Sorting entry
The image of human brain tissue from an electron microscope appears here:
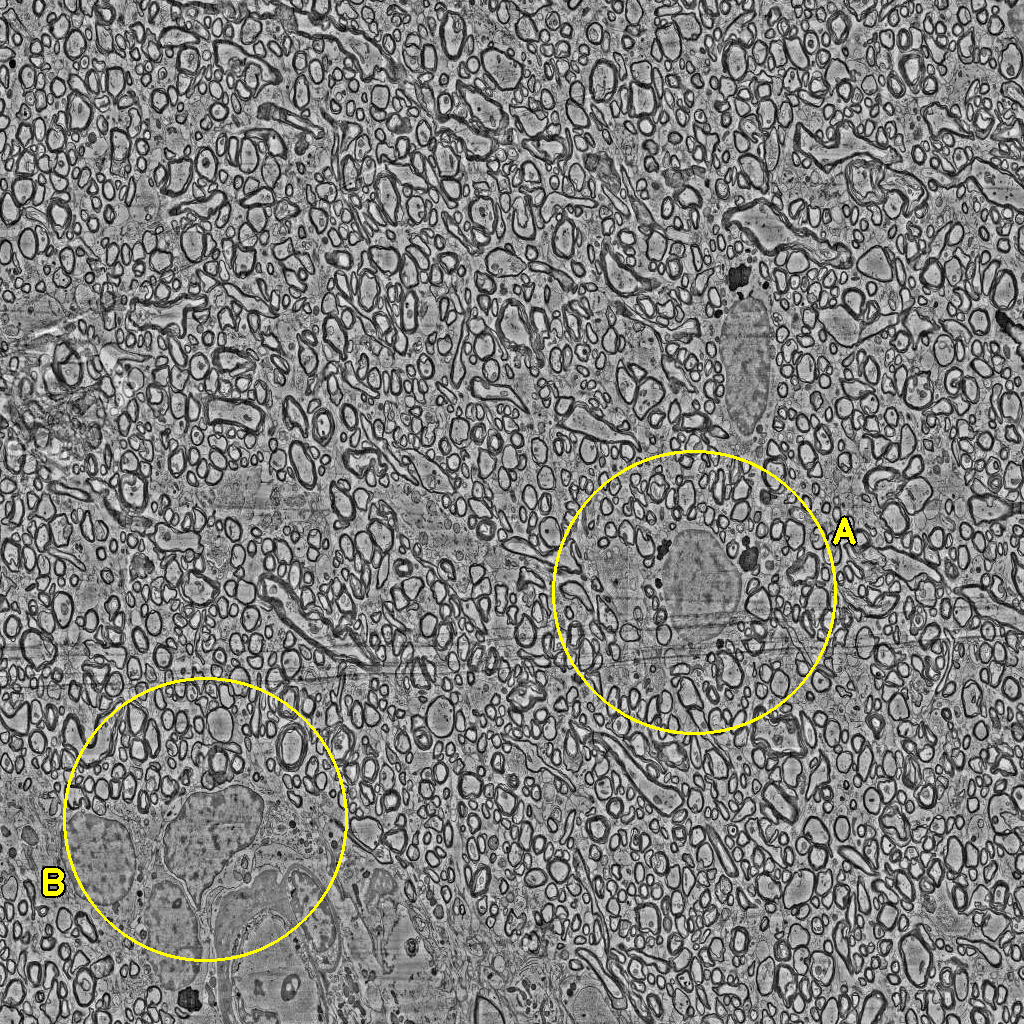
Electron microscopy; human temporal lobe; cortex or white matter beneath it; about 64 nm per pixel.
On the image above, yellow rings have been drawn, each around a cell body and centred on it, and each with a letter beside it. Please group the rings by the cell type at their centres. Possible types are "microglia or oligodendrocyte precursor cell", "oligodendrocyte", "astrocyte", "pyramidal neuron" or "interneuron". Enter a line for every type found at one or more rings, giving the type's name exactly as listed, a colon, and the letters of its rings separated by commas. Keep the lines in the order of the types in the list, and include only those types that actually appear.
microglia or oligodendrocyte precursor cell: B
oligodendrocyte: A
